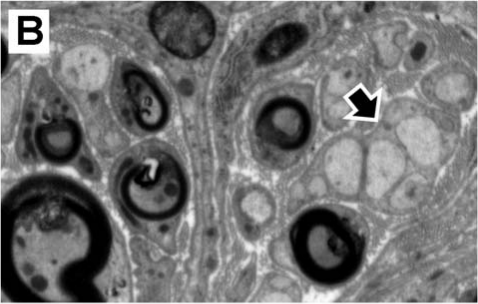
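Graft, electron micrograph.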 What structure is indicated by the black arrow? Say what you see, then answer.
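Unmyelinated axons. A group of pale rounded profiles lies together where the arrow points. These profiles lack a dark ring. Several nearby profiles have thick black rings.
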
